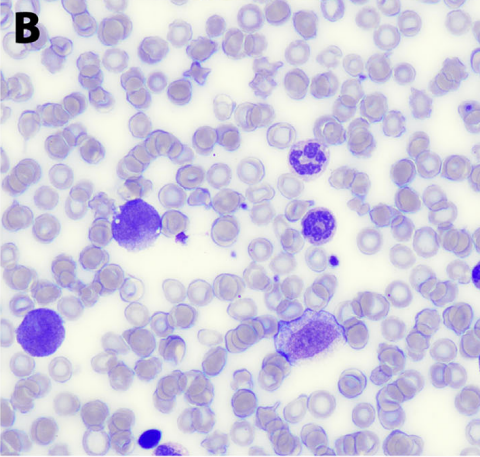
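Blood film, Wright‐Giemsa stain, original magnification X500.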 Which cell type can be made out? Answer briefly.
Medium‐sized blasts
